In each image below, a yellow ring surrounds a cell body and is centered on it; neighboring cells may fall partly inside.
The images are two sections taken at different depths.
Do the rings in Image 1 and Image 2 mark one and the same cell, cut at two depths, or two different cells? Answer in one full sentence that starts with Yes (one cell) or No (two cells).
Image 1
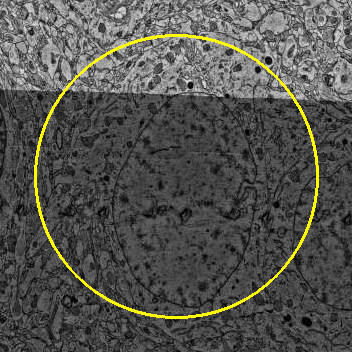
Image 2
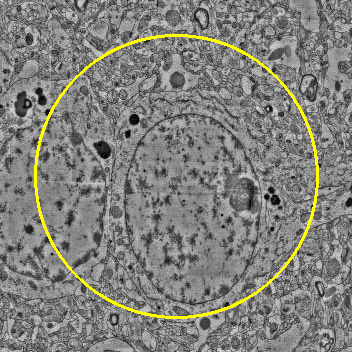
No, the two marked cells are different cells.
